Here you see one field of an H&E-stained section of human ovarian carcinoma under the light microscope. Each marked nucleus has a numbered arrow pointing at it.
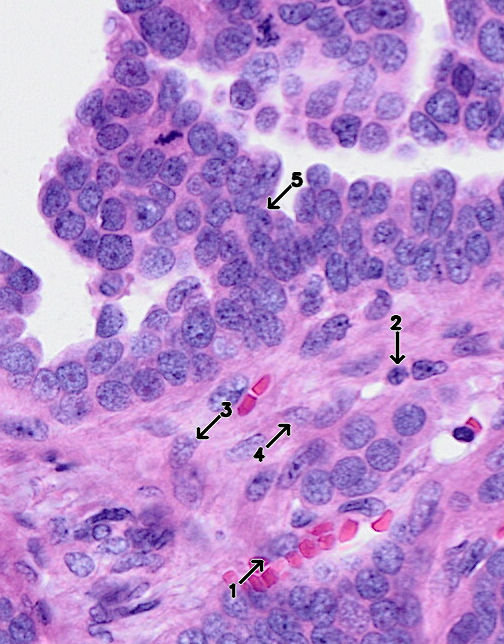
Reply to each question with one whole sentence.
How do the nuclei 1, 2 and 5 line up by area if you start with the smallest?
From smallest to largest, the order is 2, 5, 1.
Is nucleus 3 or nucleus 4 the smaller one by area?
With nucleus 3 about 2 times its size, nucleus 4 is the smaller of the two.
